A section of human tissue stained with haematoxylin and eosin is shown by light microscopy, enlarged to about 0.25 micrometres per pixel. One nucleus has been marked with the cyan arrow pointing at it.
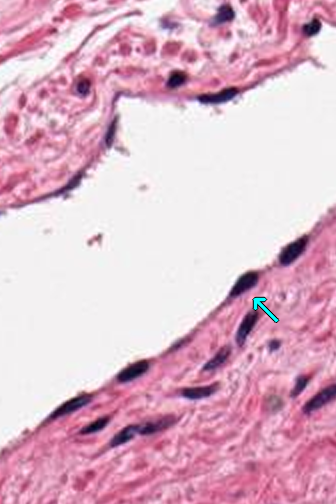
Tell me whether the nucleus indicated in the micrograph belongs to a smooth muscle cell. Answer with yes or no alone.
no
